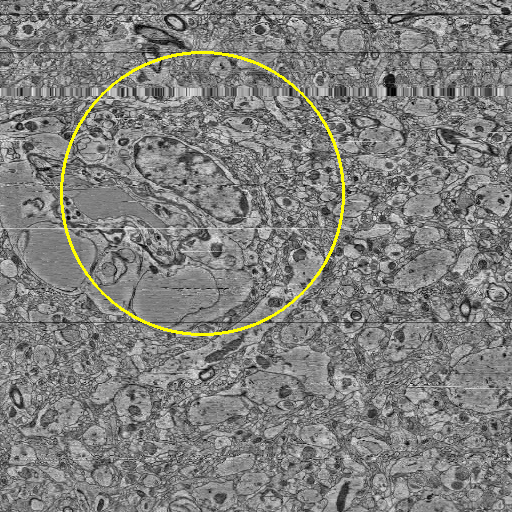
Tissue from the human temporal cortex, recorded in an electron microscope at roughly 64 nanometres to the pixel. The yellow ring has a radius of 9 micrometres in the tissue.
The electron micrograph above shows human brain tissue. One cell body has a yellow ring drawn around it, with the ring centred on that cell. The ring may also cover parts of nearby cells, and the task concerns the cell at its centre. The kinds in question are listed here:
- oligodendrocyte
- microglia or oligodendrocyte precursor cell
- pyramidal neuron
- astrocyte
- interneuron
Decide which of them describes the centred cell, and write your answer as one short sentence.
The centred cell is a microglial cell or oligodendrocyte precursor cell.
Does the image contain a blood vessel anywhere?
Yes, there is a blood vessel.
